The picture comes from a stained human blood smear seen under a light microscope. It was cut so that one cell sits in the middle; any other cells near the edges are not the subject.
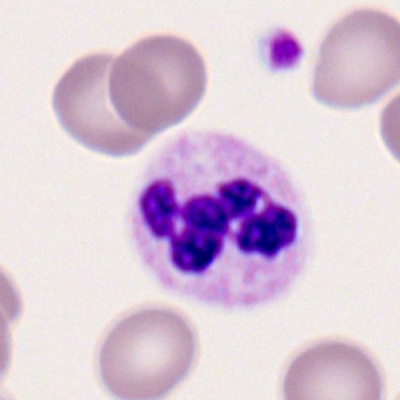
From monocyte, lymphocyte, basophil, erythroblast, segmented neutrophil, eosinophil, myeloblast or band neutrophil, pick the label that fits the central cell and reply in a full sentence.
The central cell in this smear crop is a segmented neutrophil.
